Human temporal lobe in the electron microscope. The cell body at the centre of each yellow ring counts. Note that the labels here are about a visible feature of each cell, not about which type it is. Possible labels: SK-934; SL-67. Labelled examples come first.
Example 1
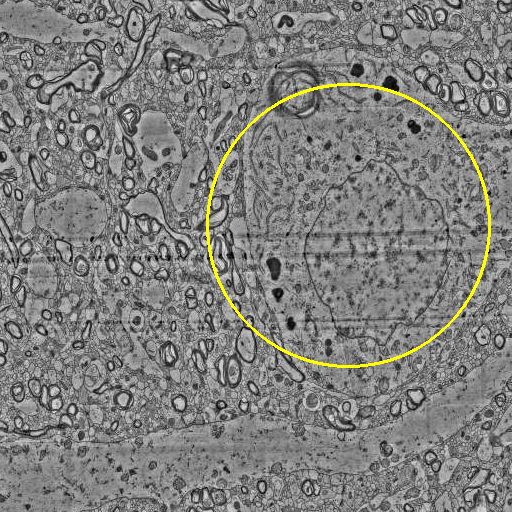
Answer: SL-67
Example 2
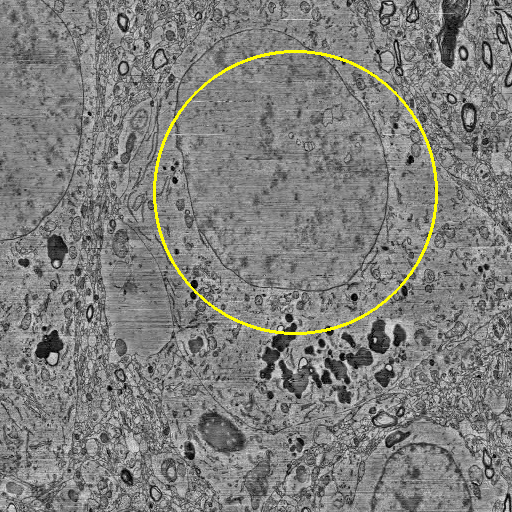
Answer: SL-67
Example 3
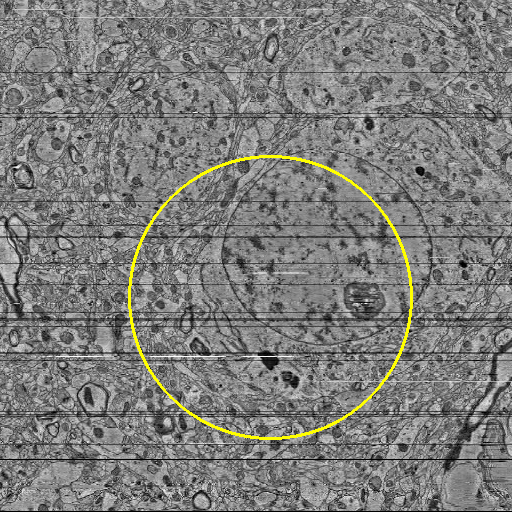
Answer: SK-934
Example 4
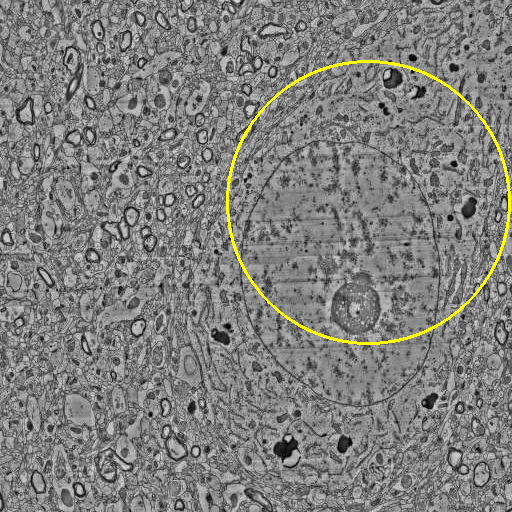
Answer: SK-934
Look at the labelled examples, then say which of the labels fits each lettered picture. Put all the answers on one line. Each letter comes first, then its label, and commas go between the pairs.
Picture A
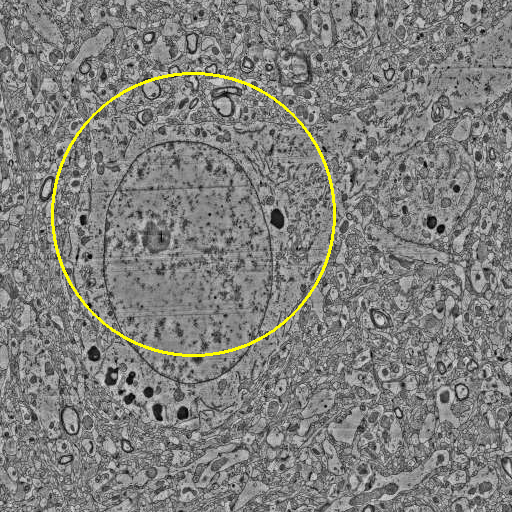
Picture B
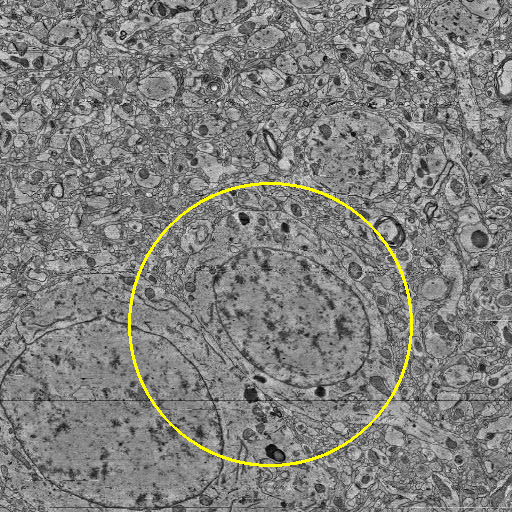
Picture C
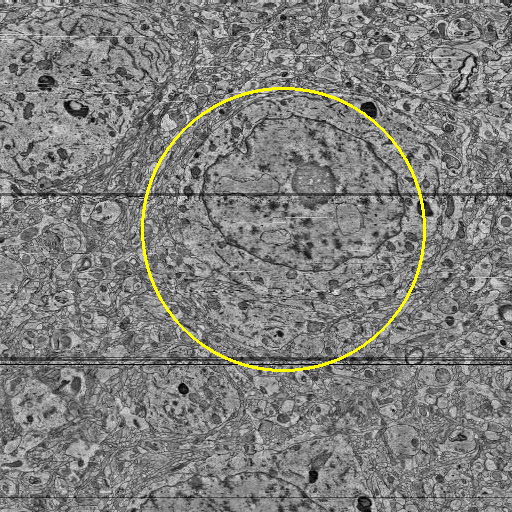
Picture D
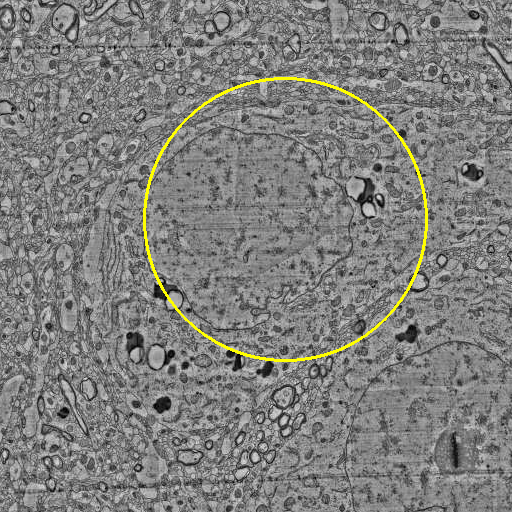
A SK-934, B SL-67, C SK-934, D SL-67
